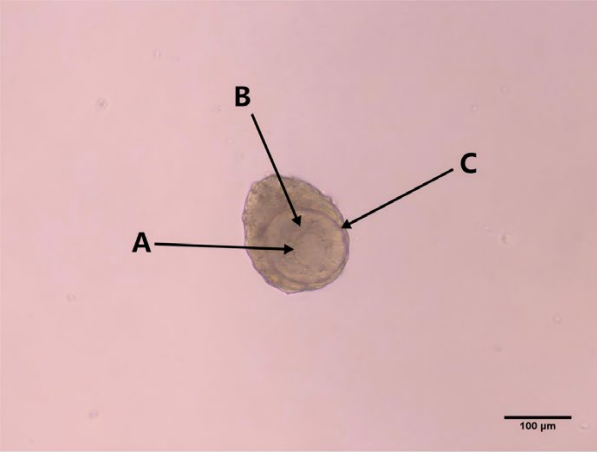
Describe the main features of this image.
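A small isolated ovarian follicle, ovoid in outline, with a round oocyte in the centre. The oocyte is ringed by a layer of granulosa cells, and a thin rim of theca cells forms the outer edge of the follicle.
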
